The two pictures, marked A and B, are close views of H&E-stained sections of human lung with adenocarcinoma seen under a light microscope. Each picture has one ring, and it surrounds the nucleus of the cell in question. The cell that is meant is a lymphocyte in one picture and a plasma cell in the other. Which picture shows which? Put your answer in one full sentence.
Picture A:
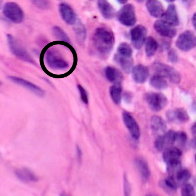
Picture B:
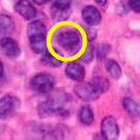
In picture A the cell is a plasma cell; in picture B, a lymphocyte.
